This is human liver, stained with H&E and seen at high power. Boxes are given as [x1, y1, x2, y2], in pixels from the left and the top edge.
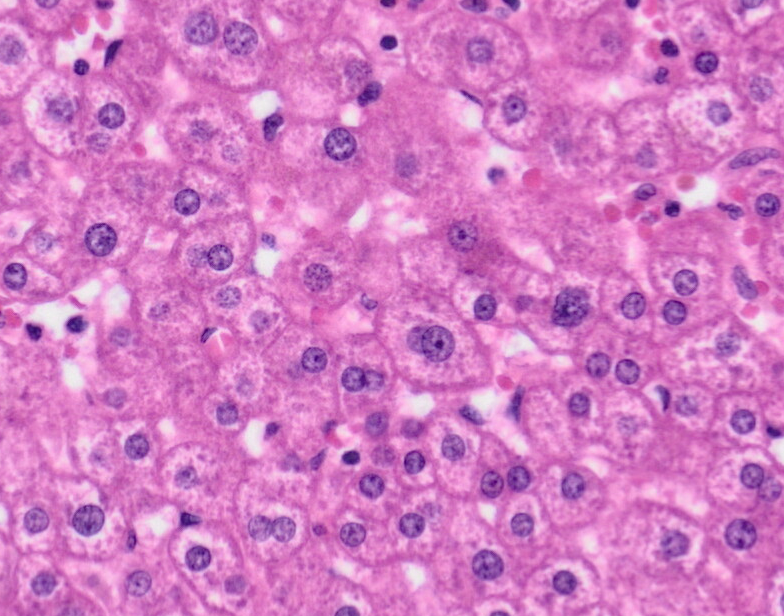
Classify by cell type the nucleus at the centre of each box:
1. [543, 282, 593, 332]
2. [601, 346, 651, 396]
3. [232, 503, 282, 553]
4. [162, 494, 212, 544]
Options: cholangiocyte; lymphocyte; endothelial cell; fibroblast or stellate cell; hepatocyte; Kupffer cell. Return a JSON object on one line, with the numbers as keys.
{"1": "hepatocyte", "2": "hepatocyte", "3": "hepatocyte", "4": "fibroblast or stellate cell"}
